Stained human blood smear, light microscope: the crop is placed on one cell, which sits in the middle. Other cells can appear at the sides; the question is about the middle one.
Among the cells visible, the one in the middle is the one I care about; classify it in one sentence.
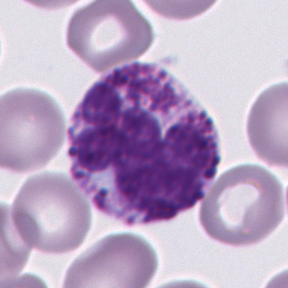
As for the cell in the middle, it is a basophil.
